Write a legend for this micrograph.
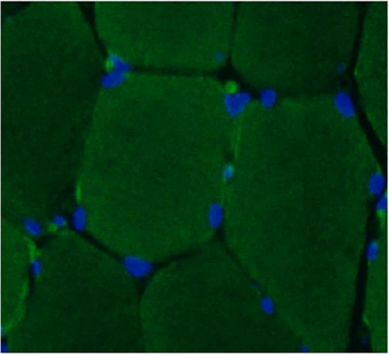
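This is a cross-section of skeletal muscle in fluorescence, where each large polygonal muscle fiber fills with a fairly even green tone. The fibers are separated by thin dark gaps where the tissue between them lies. Blue nuclei are small and oval and sit at the edges of the fibers, along these dark borders, rather than in the fiber centres. A few small bright green dots appear at fiber edges near some of the nuclei.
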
